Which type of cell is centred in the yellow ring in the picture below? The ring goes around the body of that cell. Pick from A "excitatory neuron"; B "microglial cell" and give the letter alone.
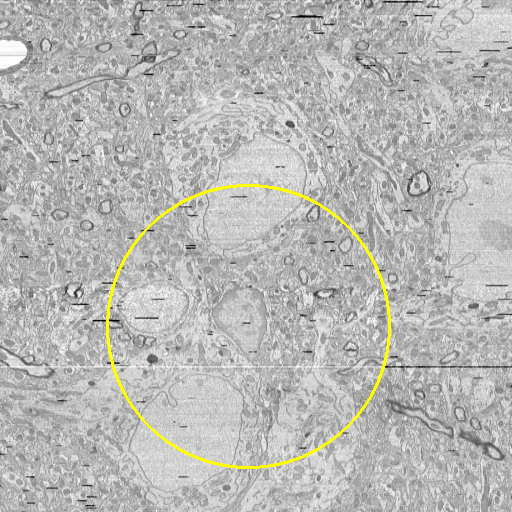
B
